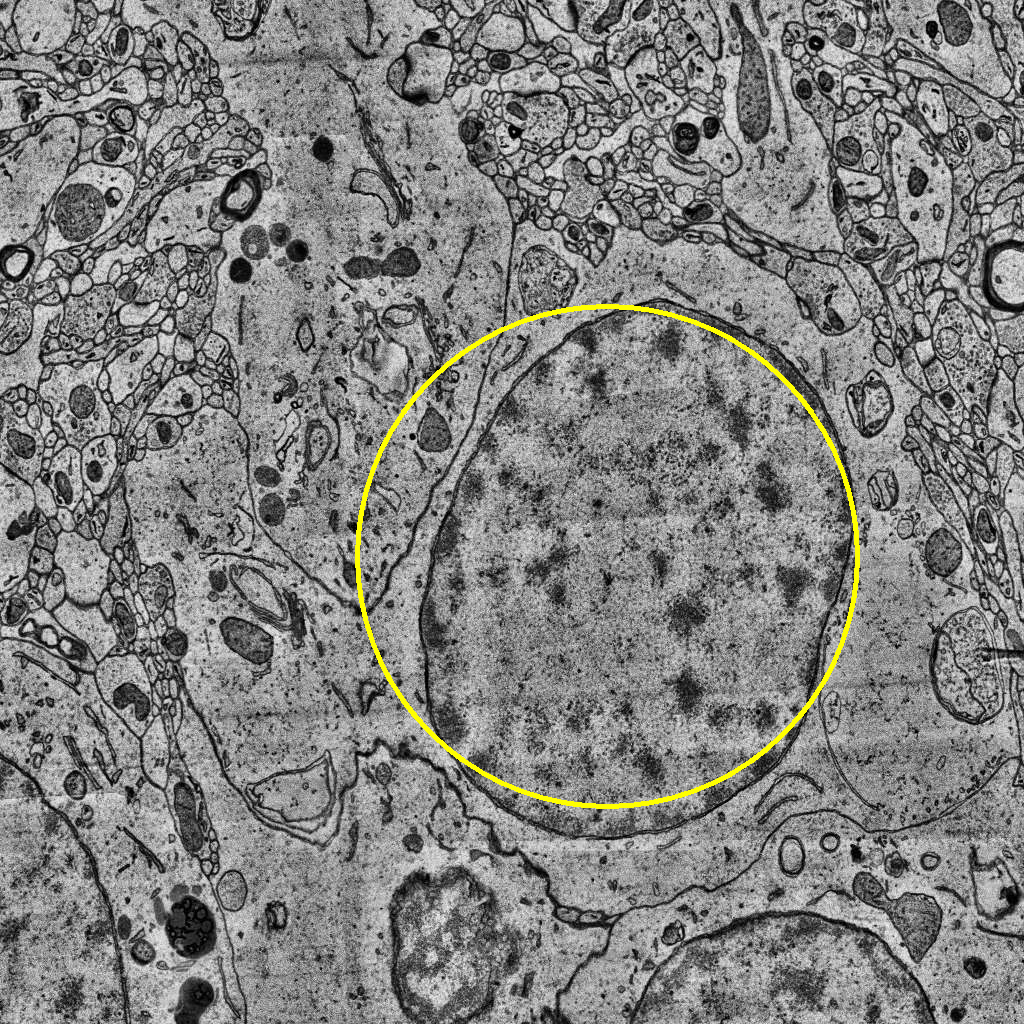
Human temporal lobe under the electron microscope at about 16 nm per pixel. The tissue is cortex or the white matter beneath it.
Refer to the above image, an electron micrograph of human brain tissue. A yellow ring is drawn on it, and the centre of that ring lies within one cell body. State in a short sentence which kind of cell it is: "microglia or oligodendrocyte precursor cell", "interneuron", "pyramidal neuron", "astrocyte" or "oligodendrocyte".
The centre of the ring falls on an astrocyte.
